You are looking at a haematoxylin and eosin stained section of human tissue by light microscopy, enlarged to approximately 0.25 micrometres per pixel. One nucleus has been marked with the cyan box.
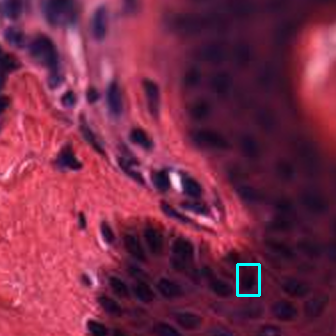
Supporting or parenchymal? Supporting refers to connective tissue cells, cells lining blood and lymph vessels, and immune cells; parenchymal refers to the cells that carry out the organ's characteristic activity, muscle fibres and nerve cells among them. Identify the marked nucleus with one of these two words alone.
parenchymal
